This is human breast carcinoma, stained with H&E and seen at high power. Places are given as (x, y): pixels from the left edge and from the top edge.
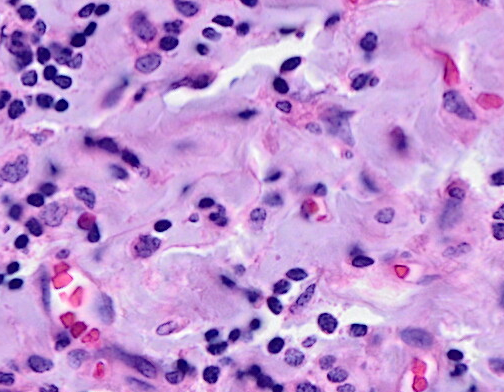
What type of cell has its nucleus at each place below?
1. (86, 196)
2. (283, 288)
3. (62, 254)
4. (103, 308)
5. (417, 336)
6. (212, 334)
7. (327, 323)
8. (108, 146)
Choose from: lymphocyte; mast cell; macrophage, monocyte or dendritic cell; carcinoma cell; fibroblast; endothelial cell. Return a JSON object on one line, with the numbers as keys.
{"1": "lymphocyte", "2": "lymphocyte", "3": "endothelial cell", "4": "endothelial cell", "5": "endothelial cell", "6": "lymphocyte", "7": "lymphocyte", "8": "lymphocyte"}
